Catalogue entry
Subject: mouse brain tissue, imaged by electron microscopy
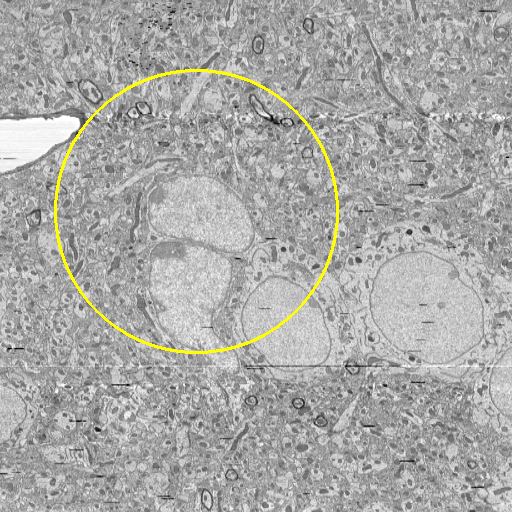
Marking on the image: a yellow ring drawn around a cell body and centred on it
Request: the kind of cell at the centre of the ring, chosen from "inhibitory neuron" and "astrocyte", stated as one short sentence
The ring has an astrocyte at its centre.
